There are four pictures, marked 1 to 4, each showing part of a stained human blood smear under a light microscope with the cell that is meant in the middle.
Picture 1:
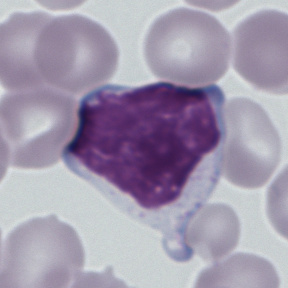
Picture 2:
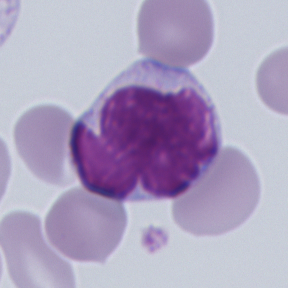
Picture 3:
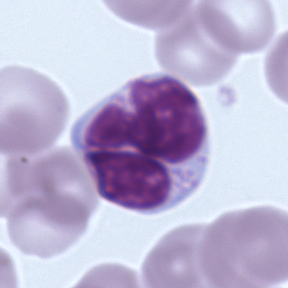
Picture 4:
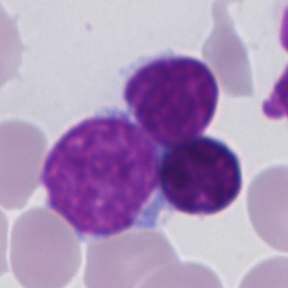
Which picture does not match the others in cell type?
4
